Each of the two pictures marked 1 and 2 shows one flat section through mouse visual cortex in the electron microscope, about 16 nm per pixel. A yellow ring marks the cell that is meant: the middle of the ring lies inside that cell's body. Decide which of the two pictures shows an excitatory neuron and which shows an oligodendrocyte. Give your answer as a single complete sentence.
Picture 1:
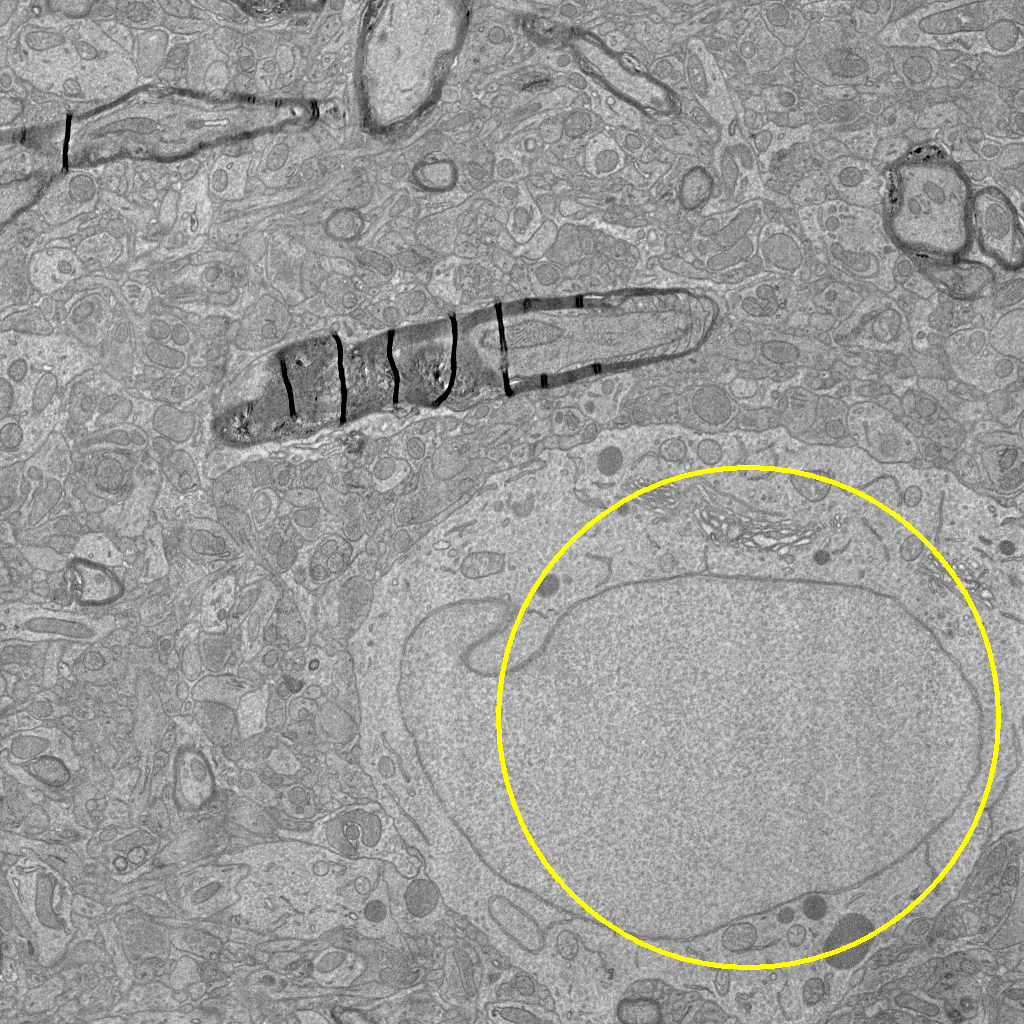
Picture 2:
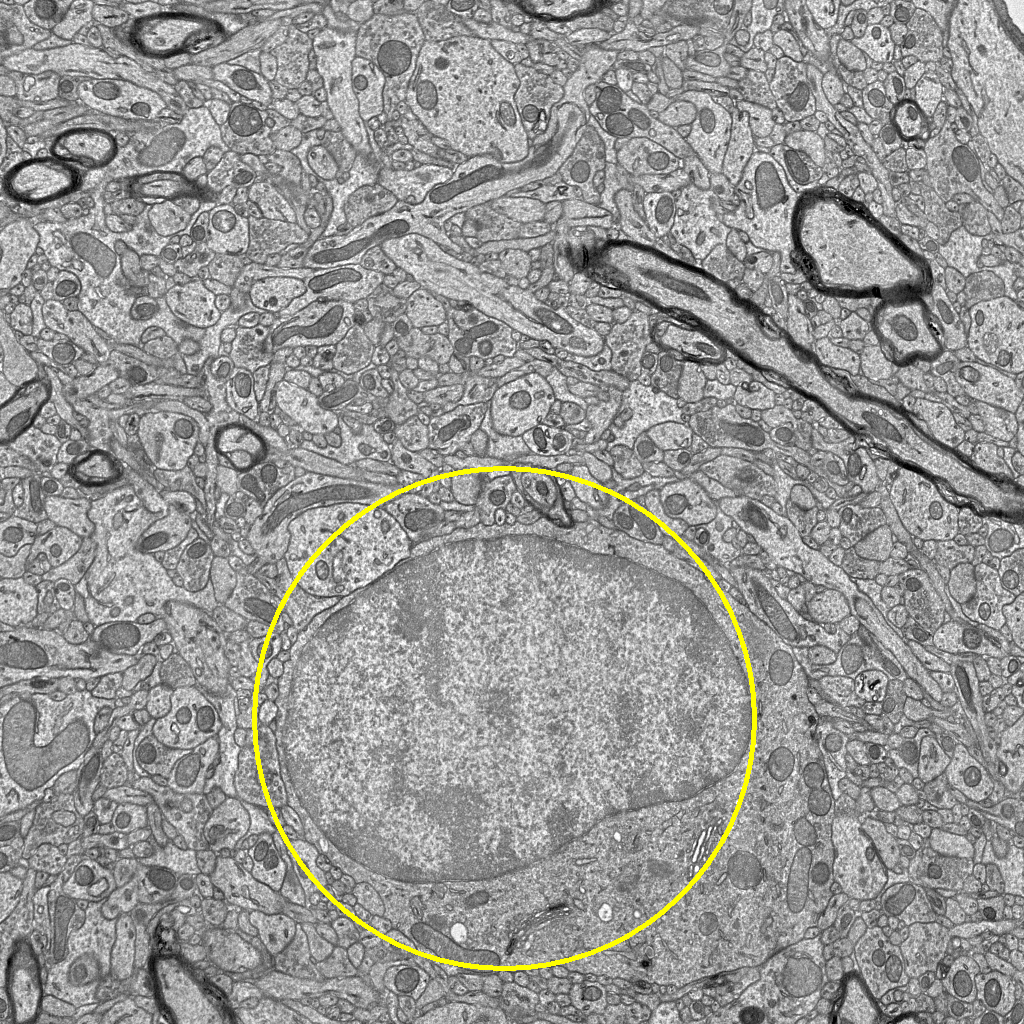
Picture 1 shows an excitatory neuron and picture 2 shows an oligodendrocyte.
